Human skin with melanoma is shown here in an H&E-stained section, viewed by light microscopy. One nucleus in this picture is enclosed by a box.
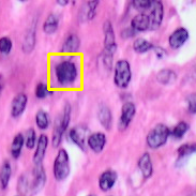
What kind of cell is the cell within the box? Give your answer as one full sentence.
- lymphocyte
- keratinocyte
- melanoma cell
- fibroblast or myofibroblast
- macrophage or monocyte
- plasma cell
In cell-type terms, the cell within the box is a plasma cell.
